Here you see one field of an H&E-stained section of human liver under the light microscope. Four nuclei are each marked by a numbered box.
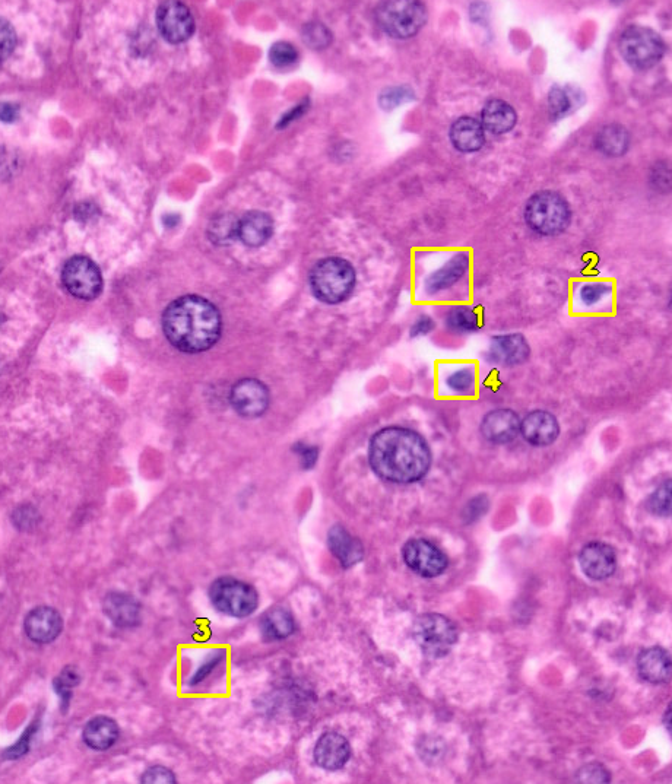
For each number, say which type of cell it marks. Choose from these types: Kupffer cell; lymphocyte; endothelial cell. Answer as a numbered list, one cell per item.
1. Kupffer cell
2. lymphocyte
3. endothelial cell
4. lymphocyte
